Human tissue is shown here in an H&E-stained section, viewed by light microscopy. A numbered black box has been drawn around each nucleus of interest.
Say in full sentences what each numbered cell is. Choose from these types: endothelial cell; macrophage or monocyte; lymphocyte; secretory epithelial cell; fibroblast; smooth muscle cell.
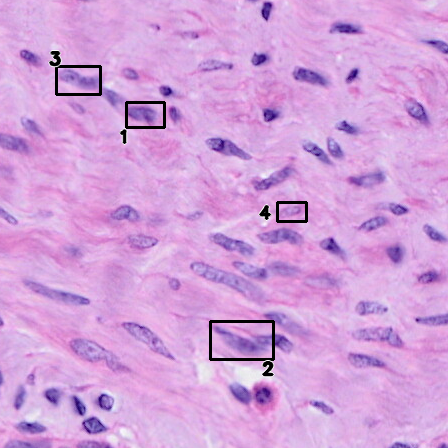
Cells 1 and 4 are smooth muscle cells. Cells 2 and 3 are fibroblasts.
